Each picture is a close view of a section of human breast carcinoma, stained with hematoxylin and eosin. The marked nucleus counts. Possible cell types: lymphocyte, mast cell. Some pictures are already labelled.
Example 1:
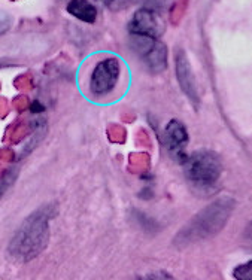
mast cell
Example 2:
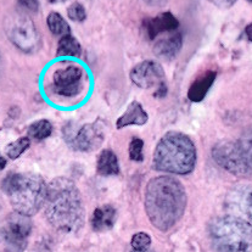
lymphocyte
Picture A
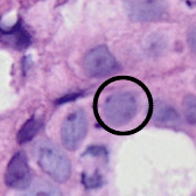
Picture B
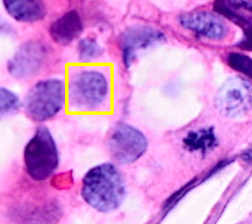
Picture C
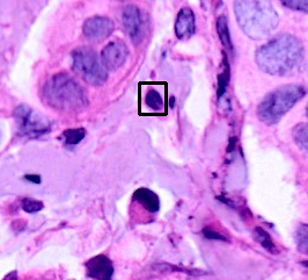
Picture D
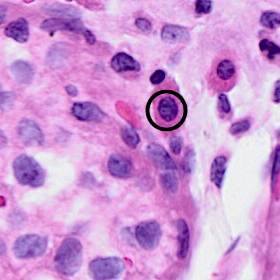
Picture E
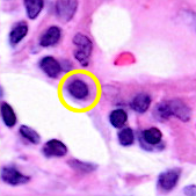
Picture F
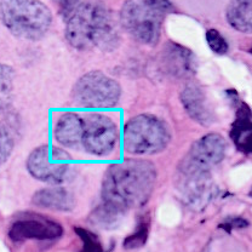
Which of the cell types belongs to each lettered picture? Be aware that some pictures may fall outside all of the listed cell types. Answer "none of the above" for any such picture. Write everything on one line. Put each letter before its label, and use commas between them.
A none of the above, B none of the above, C mast cell, D mast cell, E lymphocyte, F none of the above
